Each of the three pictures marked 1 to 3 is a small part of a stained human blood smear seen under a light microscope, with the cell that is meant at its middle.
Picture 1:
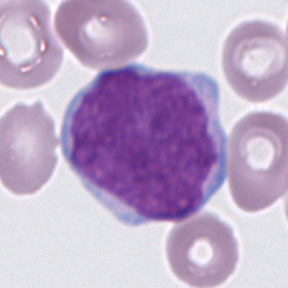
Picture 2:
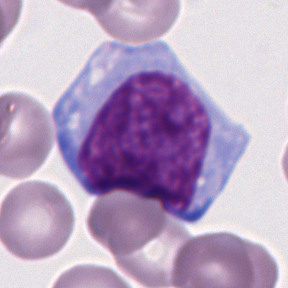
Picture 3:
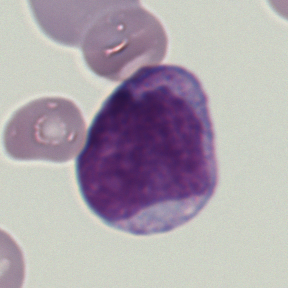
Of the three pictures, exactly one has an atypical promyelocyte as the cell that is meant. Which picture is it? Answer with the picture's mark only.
3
